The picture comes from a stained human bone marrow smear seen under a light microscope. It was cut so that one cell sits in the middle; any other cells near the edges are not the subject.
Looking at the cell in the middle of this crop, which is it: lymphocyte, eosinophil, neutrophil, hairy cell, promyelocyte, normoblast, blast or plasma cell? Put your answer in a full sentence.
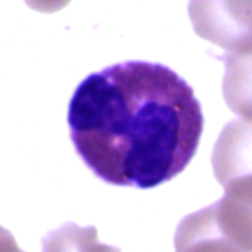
Where the crop is centred, there is an eosinophil.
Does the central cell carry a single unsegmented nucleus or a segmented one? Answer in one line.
Multiple nuclear lobes, two or more, can be counted in this cell.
